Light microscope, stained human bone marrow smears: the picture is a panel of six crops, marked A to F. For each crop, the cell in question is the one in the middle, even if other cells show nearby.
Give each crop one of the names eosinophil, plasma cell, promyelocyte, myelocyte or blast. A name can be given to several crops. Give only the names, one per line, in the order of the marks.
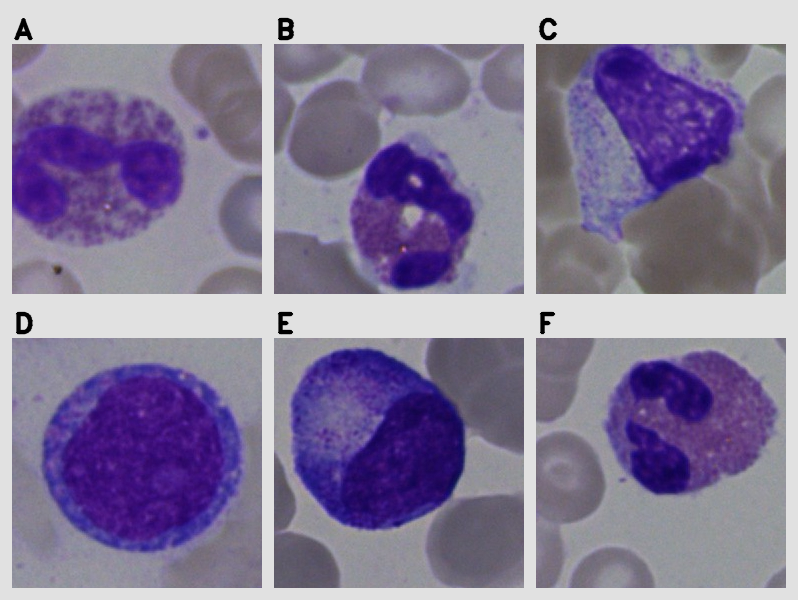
eosinophil
eosinophil
myelocyte
blast
promyelocyte
eosinophil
